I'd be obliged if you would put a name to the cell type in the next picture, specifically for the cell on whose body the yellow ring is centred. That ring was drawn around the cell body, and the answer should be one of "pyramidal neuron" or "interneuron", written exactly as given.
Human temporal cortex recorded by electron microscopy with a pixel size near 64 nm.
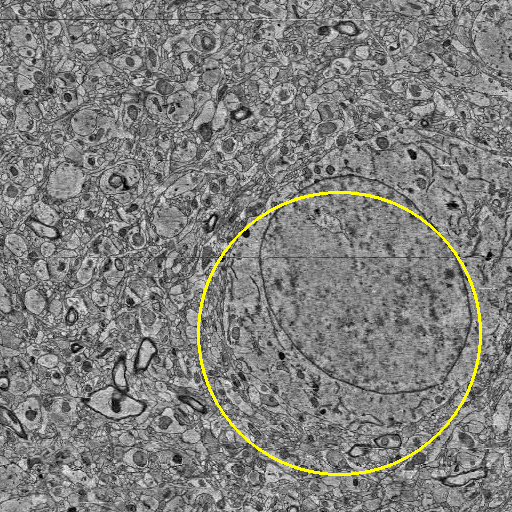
pyramidal neuron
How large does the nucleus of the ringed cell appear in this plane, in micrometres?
The nucleus measures about 16 by 12 micrometres in this plane.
